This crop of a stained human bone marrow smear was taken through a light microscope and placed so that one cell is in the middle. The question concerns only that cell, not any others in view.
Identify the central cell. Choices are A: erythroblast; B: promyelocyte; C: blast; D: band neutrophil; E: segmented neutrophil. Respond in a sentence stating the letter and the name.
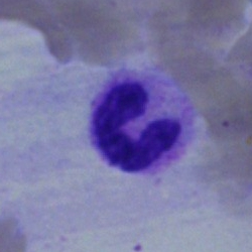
With the cell in the middle being a band neutrophil, option D is the correct choice.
